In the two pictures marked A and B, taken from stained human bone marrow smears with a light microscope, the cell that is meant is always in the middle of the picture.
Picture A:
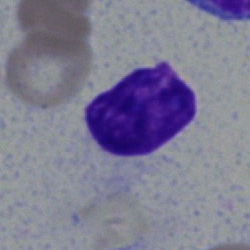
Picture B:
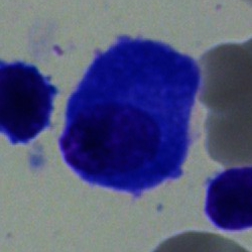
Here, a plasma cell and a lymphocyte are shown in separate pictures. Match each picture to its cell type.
A: lymphocyte
B: plasma cell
